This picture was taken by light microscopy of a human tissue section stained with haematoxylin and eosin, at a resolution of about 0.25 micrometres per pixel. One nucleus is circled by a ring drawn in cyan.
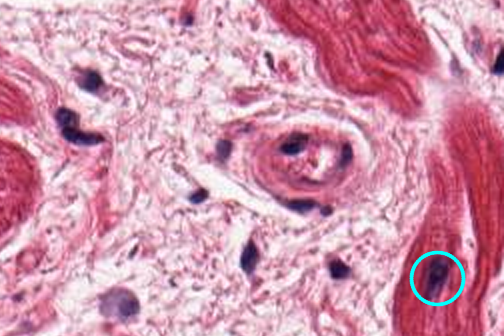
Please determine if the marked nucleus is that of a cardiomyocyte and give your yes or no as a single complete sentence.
Yes, the marked nucleus, in this picture, is that of a cardiomyocyte.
